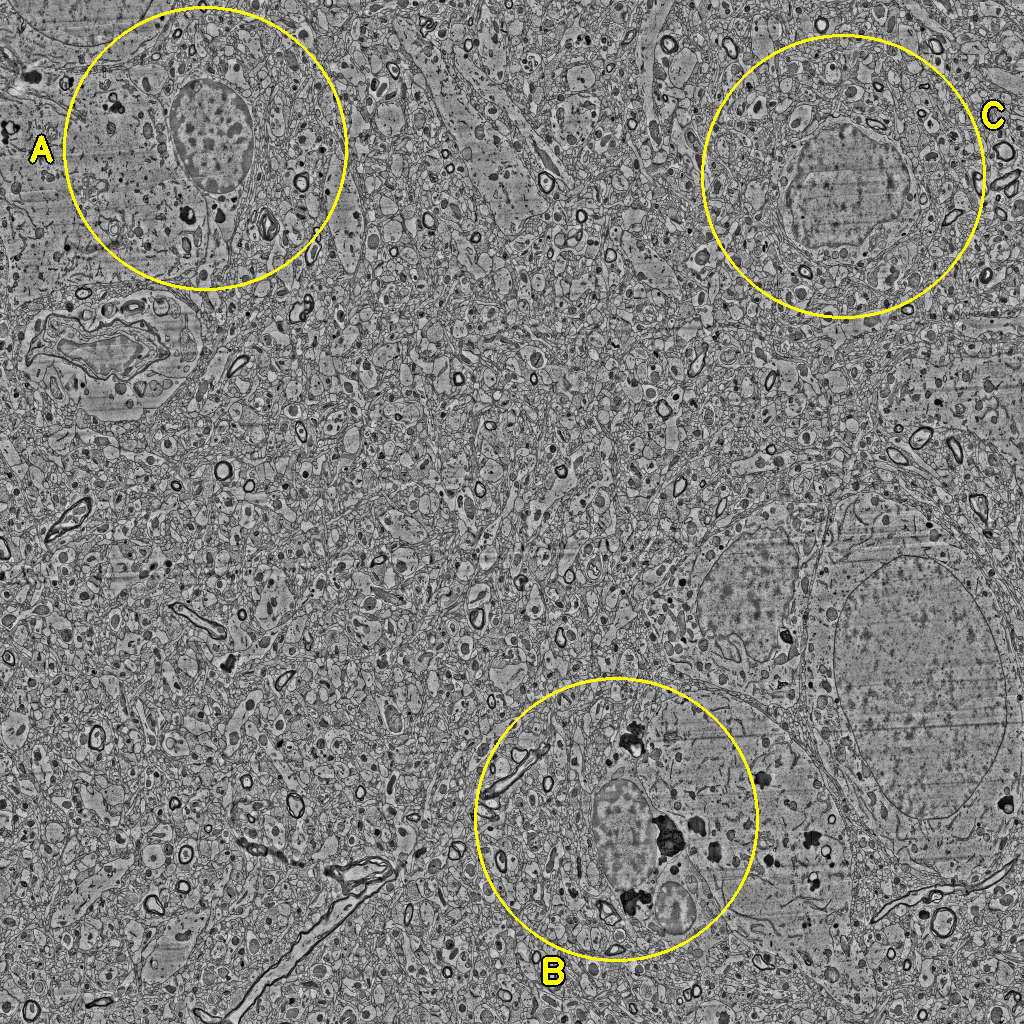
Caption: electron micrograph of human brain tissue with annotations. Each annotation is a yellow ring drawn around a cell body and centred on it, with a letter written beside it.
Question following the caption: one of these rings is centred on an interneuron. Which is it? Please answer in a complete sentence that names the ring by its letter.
The ring with the letter C is centred on it.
